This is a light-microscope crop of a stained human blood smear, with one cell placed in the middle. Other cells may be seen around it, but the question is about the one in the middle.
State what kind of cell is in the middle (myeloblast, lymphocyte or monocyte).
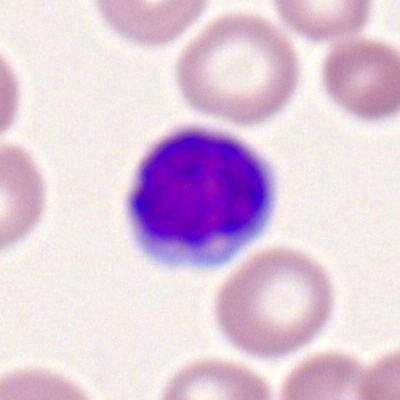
lymphocyte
